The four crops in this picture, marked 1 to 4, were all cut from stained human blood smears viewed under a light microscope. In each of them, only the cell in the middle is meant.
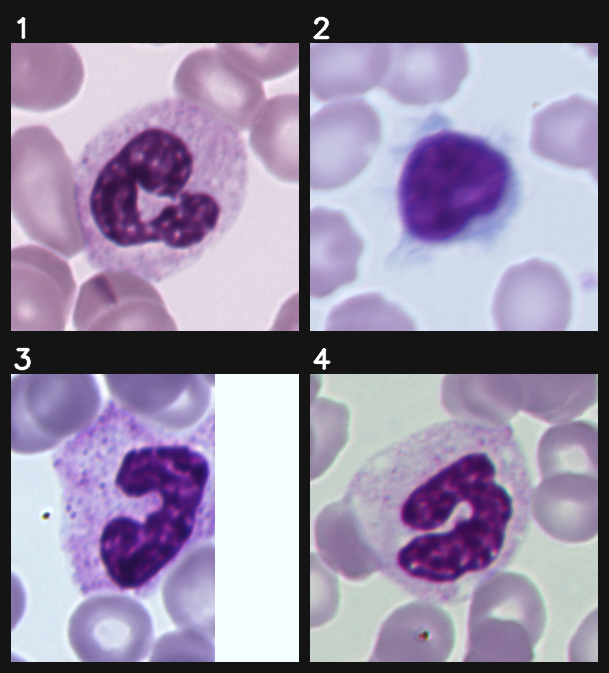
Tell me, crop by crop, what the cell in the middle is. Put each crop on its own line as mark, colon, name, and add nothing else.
1: segmented neutrophil
2: hairy cell
3: segmented neutrophil
4: segmented neutrophil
